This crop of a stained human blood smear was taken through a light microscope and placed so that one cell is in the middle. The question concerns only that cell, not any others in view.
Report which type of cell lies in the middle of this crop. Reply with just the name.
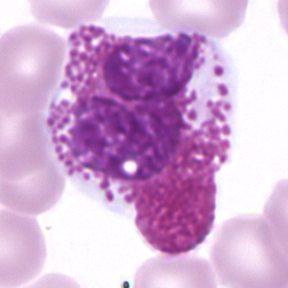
eosinophil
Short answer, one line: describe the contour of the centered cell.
No smooth contour is present; the border is ragged or extended into projections.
